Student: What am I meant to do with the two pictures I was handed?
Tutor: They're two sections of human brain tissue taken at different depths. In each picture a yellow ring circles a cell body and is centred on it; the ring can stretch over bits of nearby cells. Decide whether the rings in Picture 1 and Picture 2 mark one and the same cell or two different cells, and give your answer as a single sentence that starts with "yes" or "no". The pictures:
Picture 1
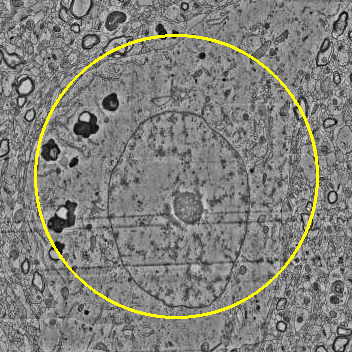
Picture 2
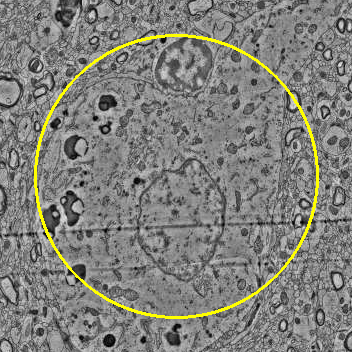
Yes, what the two rings mark is one cell.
